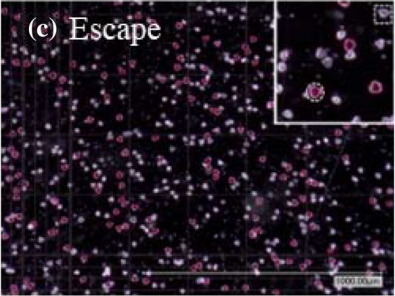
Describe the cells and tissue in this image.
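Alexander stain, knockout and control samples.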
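The field is densely scattered with pollen grains lying singly on a dark background. The grains are rounded and of similar size. Many of them carry a distinct red to magenta rim, and these are interspersed with paler grey-white grains. The inset enlarges several red-rimmed grains, in which the coloured outline surrounds a rounded grain.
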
